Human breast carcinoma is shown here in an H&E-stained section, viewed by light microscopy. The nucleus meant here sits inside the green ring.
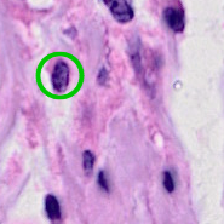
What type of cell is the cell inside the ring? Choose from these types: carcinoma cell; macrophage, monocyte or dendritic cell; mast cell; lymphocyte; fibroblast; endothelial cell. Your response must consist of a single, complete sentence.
So far as cell type goes, the cell inside the ring is a mast cell.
